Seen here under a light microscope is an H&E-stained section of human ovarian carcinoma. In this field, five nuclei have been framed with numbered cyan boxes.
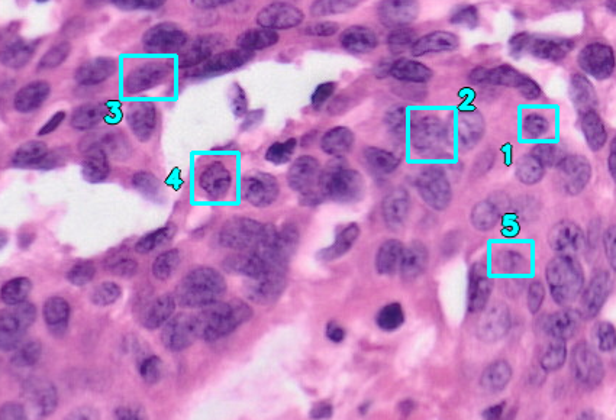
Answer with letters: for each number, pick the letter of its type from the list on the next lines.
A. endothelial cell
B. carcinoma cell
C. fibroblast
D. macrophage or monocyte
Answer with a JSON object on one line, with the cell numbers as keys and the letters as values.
{"1": "D", "2": "B", "3": "B", "4": "D", "5": "B"}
